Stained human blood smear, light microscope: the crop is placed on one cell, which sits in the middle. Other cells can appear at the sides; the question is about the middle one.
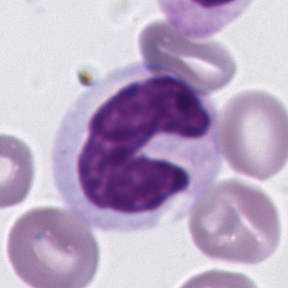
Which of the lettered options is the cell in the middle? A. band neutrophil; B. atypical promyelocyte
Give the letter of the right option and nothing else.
A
